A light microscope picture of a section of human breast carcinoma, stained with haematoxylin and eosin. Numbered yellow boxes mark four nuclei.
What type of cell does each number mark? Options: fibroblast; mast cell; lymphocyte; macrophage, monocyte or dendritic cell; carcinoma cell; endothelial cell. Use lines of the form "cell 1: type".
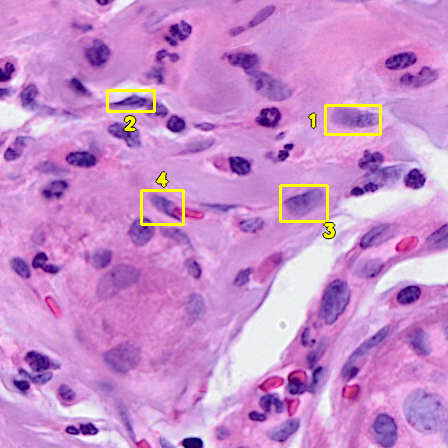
cell 1: fibroblast
cell 2: fibroblast
cell 3: fibroblast
cell 4: endothelial cell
